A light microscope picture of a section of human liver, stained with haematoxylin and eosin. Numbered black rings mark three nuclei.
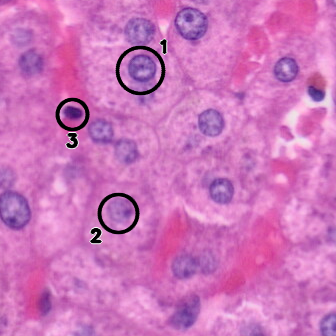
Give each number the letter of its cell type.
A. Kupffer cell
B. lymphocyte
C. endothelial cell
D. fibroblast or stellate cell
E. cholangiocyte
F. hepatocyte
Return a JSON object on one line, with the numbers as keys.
{"1": "F", "2": "F", "3": "B"}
